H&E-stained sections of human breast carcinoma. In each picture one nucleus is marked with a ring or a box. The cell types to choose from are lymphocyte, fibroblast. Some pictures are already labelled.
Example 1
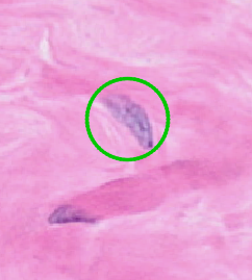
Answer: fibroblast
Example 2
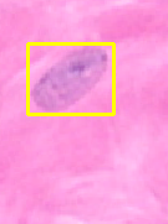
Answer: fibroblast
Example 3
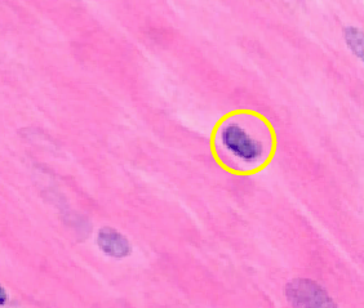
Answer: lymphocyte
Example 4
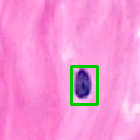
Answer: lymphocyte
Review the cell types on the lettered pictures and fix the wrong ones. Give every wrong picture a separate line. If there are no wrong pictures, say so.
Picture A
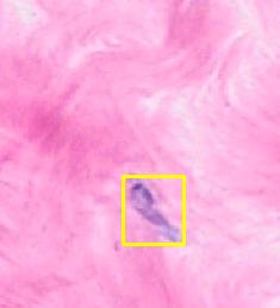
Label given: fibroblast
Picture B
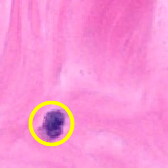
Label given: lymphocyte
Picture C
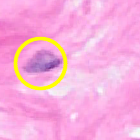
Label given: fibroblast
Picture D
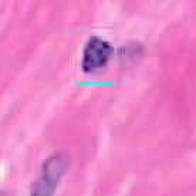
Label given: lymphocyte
Every label is right.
